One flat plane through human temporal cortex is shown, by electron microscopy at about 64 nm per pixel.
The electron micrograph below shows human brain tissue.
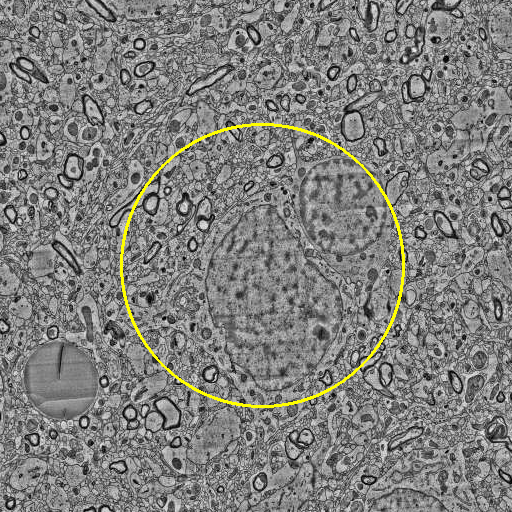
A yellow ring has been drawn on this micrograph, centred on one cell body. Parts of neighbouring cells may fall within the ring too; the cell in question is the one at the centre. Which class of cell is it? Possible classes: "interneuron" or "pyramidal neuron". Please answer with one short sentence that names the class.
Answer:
In the centre of the ring sits an interneuron.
